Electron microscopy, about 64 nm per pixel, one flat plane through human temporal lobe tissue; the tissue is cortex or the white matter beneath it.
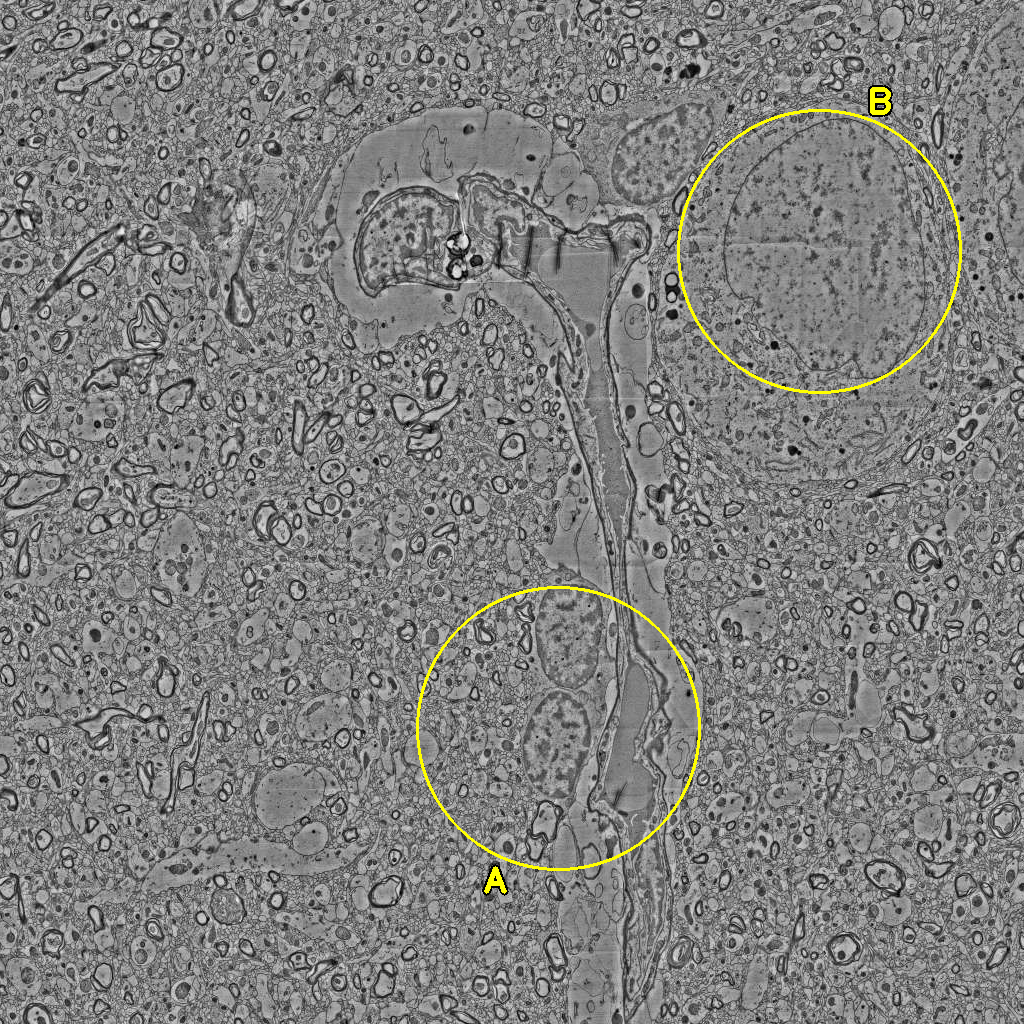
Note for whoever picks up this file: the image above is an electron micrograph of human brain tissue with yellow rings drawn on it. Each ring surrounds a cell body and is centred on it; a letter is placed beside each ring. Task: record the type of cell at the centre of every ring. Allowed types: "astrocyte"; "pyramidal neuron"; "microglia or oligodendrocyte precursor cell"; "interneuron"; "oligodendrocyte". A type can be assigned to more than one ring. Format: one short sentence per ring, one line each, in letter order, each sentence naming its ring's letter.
The ring marked A is centred on an oligodendrocyte.
The ring marked B is centred on a pyramidal neuron.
